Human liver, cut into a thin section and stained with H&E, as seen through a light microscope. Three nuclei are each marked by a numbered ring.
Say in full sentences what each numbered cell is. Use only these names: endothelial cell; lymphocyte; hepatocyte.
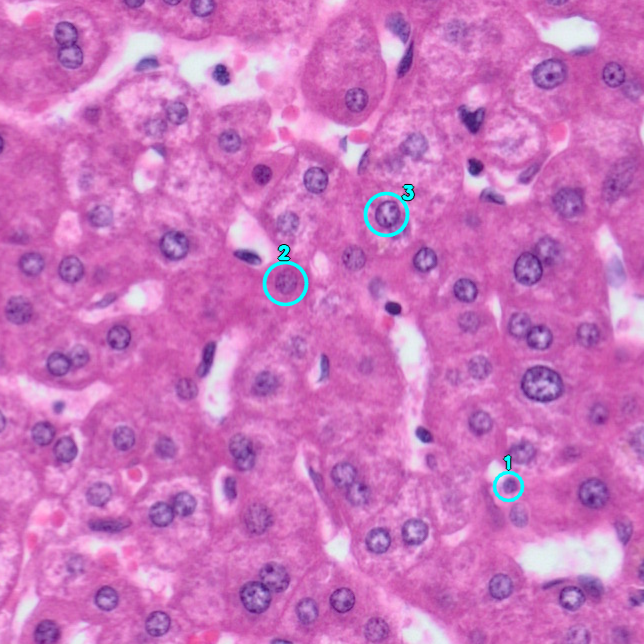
Cell 1 is a lymphocyte. Cells 2 and 3 are hepatocytes.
